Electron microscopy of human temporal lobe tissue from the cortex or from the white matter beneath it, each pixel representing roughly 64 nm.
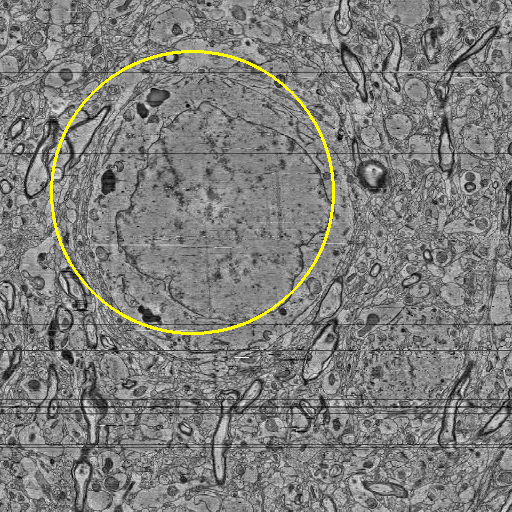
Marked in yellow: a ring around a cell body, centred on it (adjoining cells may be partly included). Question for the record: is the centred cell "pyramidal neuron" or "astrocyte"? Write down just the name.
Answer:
pyramidal neuron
